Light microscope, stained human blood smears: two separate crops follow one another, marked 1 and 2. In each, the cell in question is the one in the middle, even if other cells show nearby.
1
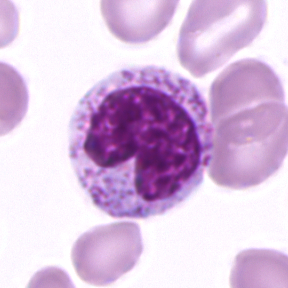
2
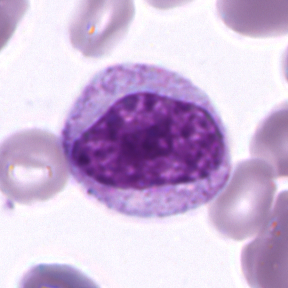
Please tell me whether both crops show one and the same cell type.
no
